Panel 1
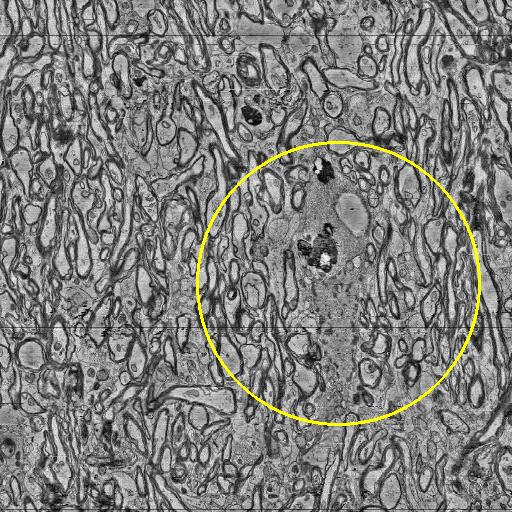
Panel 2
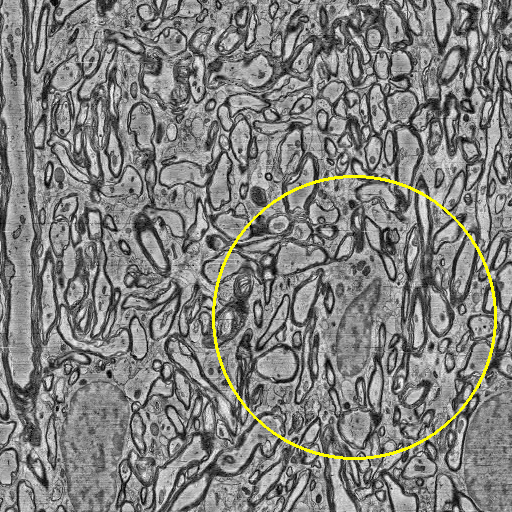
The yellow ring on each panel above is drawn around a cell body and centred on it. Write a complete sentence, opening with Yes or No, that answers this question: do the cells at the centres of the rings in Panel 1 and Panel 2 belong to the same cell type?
No, the two cells belong to two cell types.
